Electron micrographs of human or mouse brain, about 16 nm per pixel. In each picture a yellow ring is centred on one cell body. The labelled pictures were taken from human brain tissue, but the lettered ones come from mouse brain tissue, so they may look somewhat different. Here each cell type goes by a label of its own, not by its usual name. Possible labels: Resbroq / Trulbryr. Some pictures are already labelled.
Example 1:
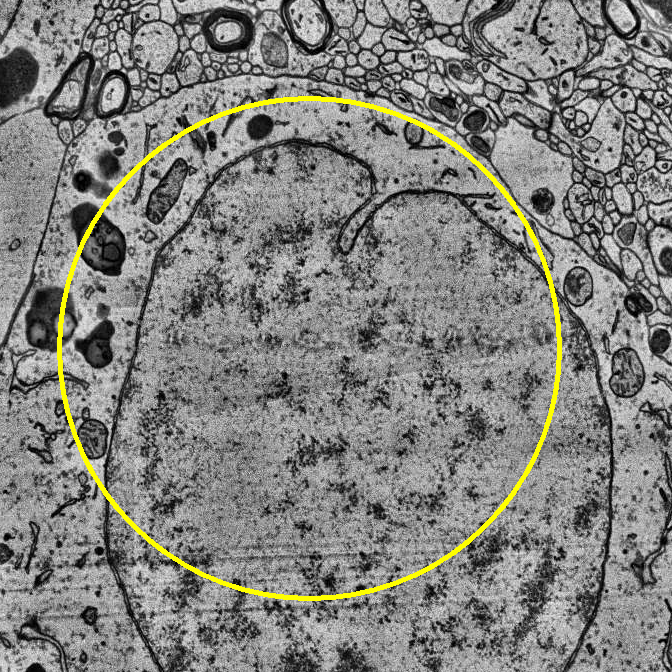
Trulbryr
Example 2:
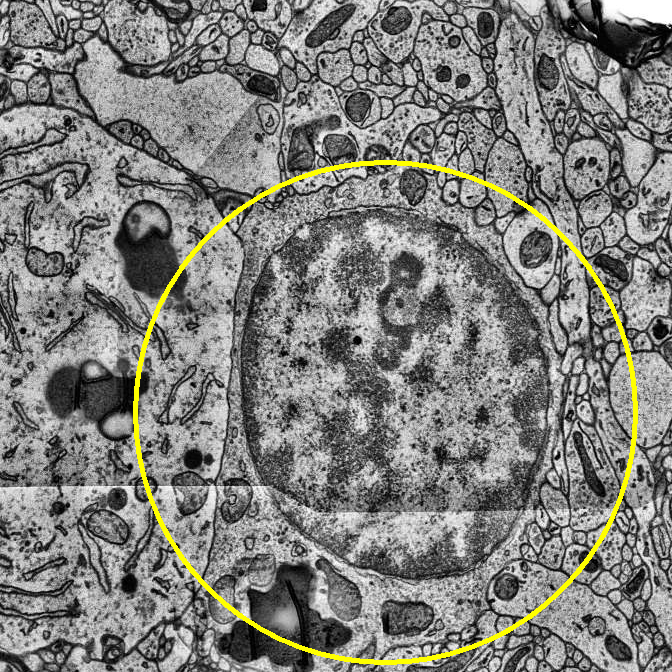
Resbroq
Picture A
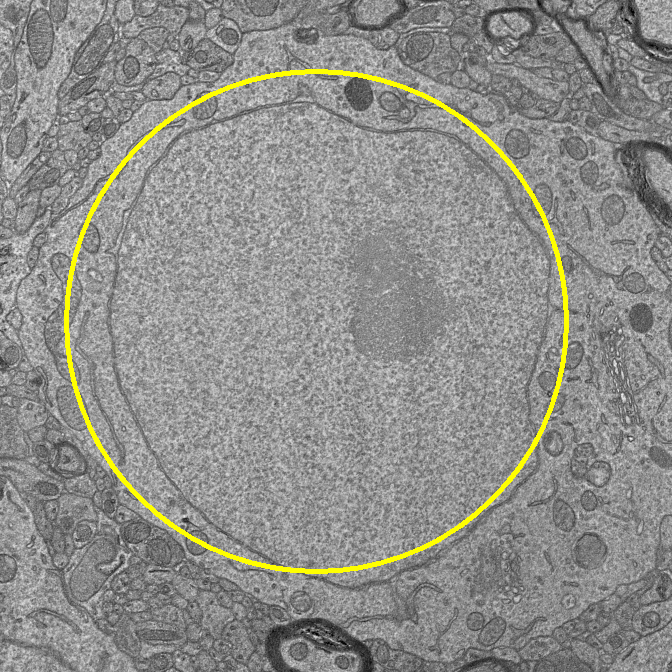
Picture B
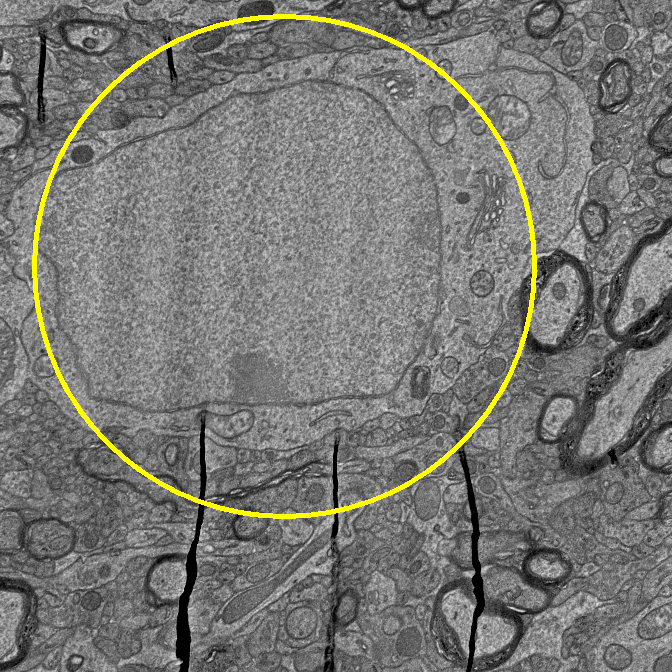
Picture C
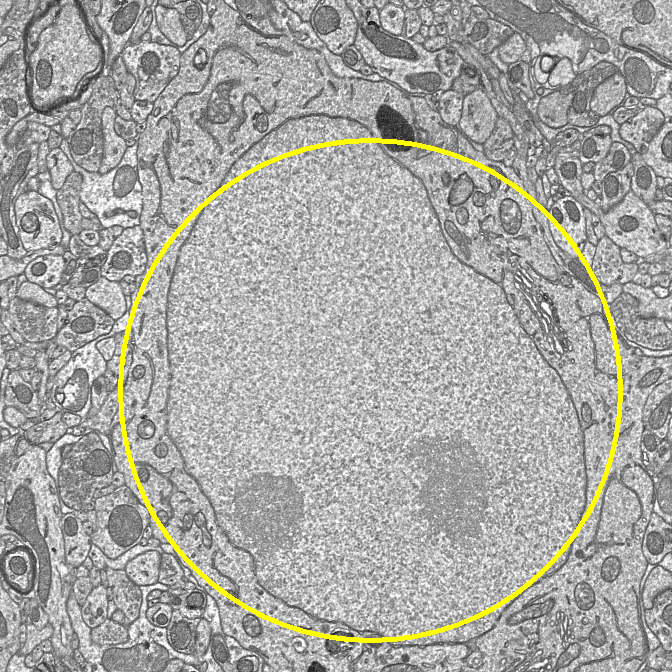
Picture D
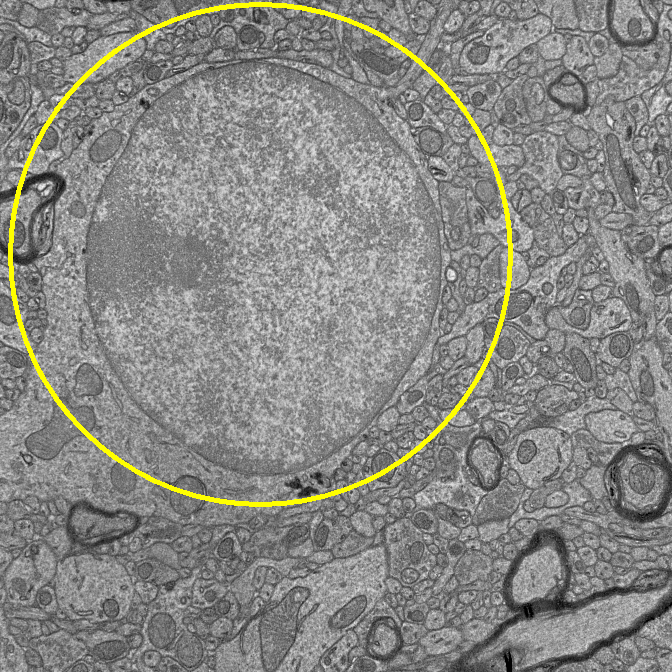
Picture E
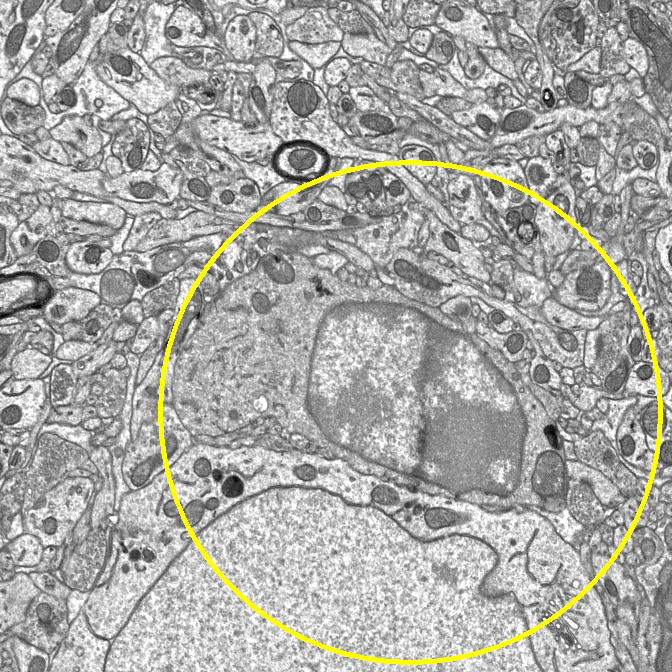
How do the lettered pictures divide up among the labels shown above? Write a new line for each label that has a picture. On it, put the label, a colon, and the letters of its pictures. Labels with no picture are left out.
Resbroq: D, E
Trulbryr: A, B, C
